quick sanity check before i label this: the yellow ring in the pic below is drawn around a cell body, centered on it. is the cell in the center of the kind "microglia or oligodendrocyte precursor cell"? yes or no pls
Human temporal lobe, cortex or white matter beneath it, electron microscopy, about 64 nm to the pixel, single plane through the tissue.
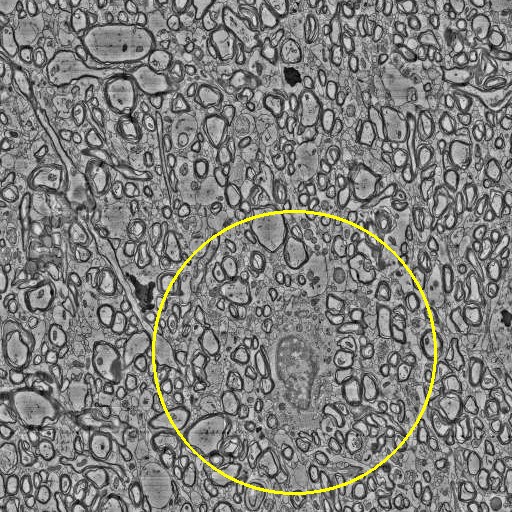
no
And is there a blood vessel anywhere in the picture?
No, the image shows no blood vessel.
